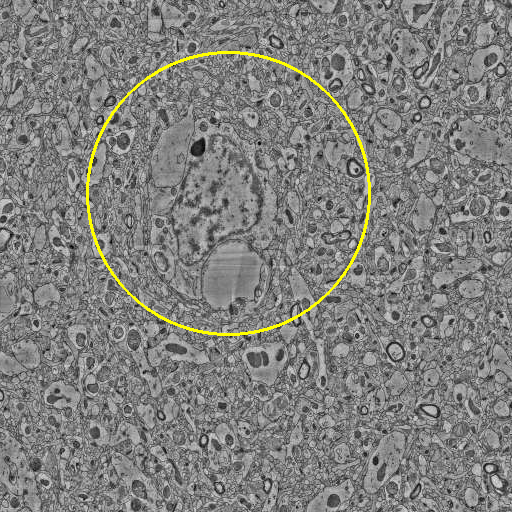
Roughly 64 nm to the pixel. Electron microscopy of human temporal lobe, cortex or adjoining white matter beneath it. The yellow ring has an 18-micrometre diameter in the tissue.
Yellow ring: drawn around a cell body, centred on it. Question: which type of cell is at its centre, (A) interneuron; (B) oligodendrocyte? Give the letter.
A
